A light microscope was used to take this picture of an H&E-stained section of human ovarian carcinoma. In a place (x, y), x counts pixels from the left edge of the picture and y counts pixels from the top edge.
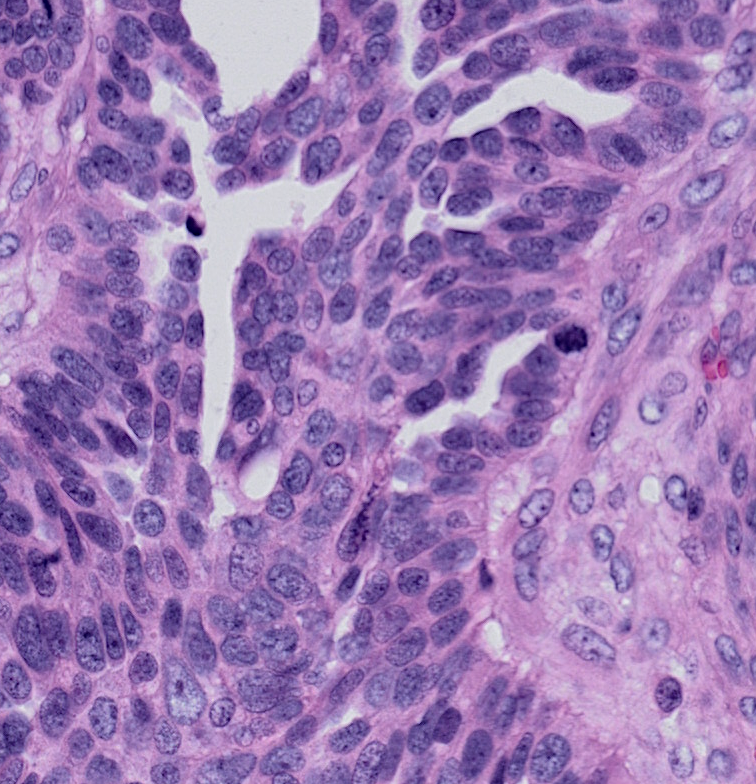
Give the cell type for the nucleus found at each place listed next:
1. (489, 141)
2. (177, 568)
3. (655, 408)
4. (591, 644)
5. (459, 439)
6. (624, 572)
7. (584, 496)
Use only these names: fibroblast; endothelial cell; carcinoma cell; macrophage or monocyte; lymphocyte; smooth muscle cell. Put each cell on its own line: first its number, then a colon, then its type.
1: carcinoma cell
2: carcinoma cell
3: fibroblast
4: fibroblast
5: carcinoma cell
6: fibroblast
7: fibroblast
